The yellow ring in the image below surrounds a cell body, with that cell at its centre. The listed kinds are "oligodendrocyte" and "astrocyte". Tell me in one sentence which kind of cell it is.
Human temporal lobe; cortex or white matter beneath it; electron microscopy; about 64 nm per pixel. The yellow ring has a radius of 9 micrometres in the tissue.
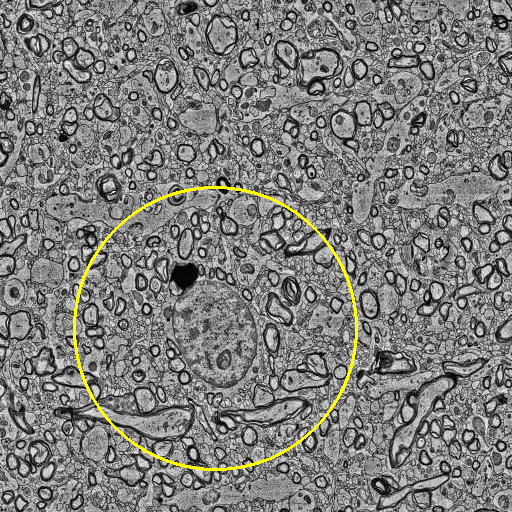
The centre of the ring holds an oligodendrocyte.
